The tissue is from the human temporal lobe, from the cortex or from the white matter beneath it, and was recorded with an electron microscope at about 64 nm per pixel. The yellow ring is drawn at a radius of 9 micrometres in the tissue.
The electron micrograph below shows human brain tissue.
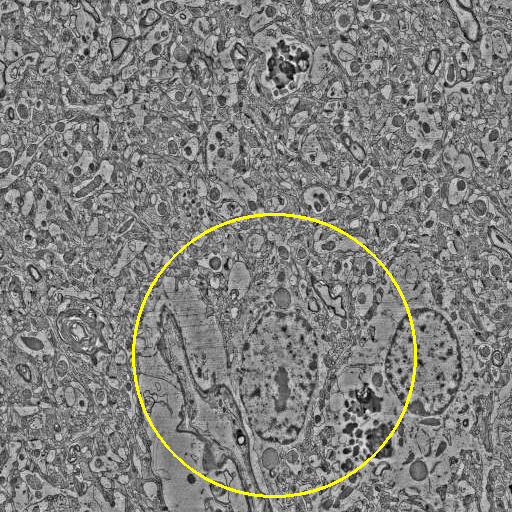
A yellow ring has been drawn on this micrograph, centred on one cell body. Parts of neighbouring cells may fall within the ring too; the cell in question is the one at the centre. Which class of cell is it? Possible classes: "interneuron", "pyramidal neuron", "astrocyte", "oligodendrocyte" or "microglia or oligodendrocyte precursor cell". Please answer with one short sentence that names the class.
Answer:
In the centre of the ring sits an astrocyte.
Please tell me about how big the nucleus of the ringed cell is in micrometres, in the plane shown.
Roughly 8 by 5 micrometers, clearly longer than it is wide in this plane.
